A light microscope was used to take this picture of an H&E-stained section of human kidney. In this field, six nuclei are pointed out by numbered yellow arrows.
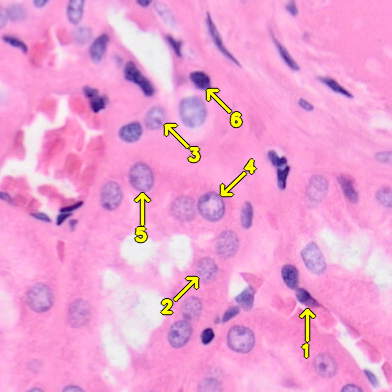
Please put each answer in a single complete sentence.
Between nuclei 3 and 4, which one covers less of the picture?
The smaller nucleus is 3, and 4 covers roughly 1.5 times its area.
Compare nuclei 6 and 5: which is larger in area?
Nucleus 5 is larger, with an area about 1.5 times that of nucleus 6.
